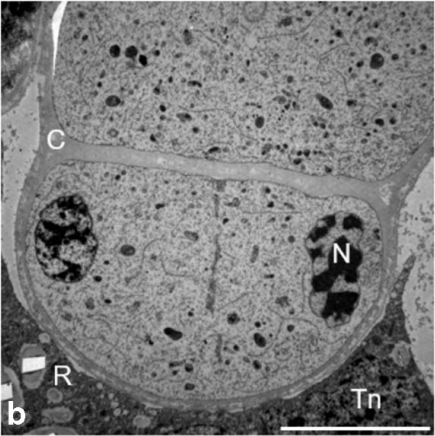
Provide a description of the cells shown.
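Electron micrograph of a dividing microspore mother cell at the end of the second meiotic division. Two cells are separated by a thick, pale, homogeneous wall that also encloses the outside. The lower cell holds two oval nuclei at opposite ends, each with dense dark clumped chromatin. Between them a thin dark line crosses the cytoplasm, the forming wall. The cytoplasm is finely granular with scattered small dark bodies and membrane profiles. Outside the wall lies darker, denser tissue, and a bright crystal-like body sits at the lower left edge.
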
